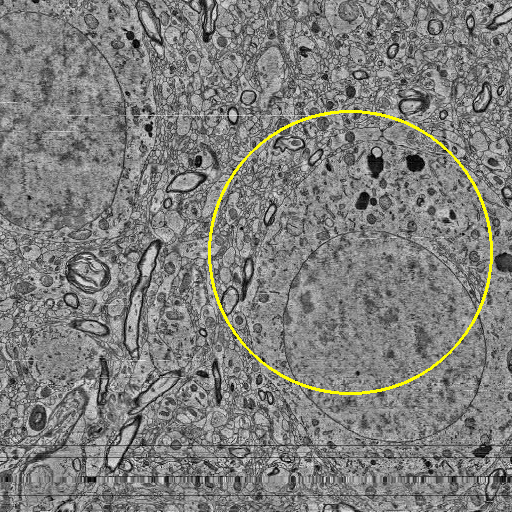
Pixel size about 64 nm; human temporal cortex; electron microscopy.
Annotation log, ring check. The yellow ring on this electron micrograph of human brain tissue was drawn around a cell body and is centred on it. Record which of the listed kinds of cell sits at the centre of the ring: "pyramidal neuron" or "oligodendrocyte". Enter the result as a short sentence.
The cell at the centre of the ring is a pyramidal neuron.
